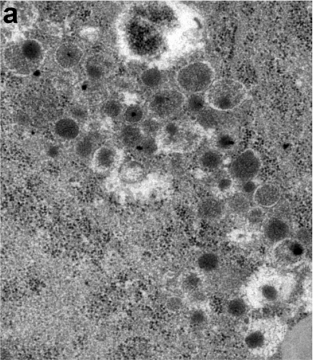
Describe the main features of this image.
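The cytoplasm of these cells is crowded with small round membrane-bound granules, many clustered together in one region. Most granules have a dark, electron-dense core, and in several the core is set off from the surrounding membrane by a pale halo. Some larger, paler and irregular membrane-bound structures lie among them. These are fields of endocrine secretory granules.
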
